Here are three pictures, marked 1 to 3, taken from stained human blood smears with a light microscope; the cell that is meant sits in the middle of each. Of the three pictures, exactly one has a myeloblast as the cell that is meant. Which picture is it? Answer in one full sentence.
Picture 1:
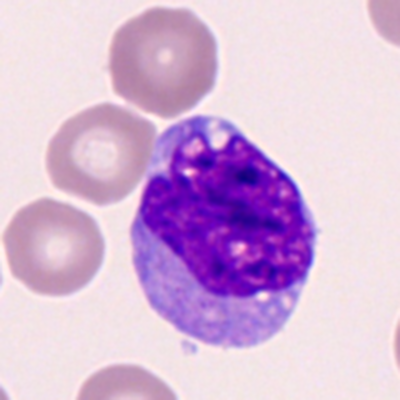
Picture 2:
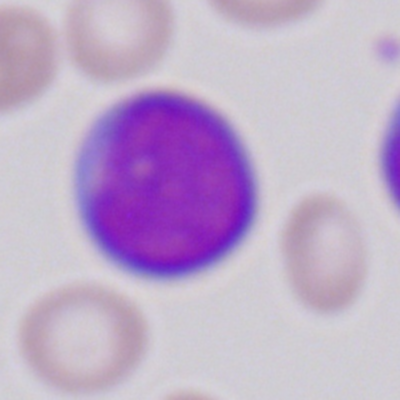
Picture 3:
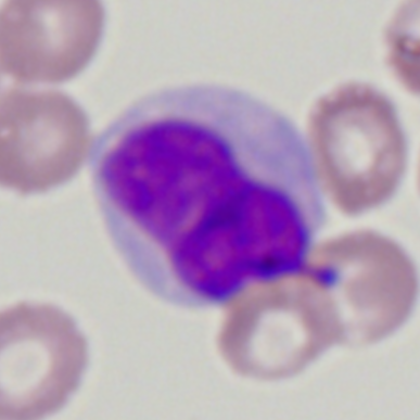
The cell in picture 2 is the myeloblast.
